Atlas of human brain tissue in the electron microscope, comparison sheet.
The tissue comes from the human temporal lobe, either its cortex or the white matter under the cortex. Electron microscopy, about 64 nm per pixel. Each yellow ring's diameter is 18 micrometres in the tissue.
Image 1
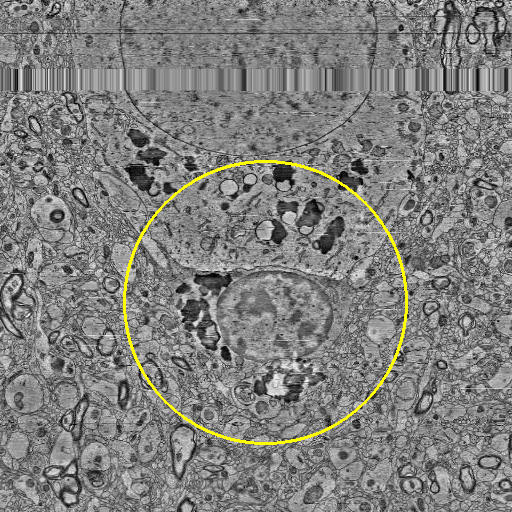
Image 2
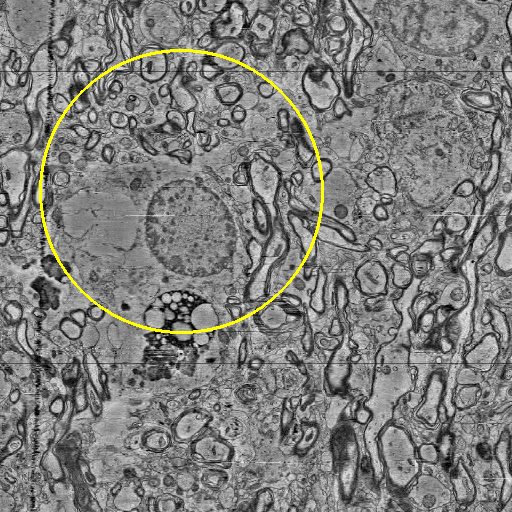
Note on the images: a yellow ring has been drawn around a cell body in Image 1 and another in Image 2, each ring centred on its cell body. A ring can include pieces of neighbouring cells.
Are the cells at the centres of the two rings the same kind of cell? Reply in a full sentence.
No, the two cells are of two kinds.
